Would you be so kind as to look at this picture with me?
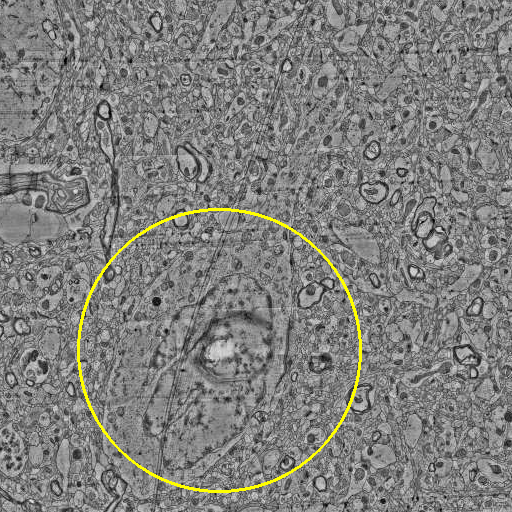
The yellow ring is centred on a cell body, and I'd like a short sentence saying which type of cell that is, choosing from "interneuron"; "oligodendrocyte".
The cell body in the ring belongs to an interneuron.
